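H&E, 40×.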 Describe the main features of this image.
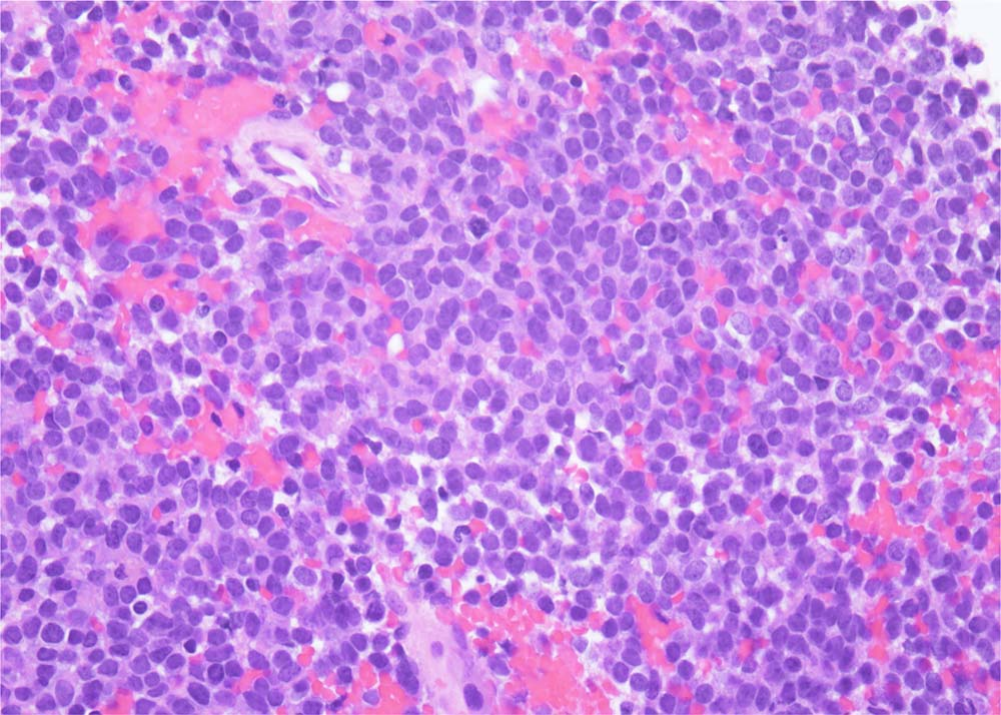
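This field shows a diffuse, densely cellular sheet of neoplastic cells, small and monotonous, that effaces any normal tissue architecture. The cells are round to oval, with nuclei that fill almost the whole cell and leave only a scant rim of pale cytoplasm. The nuclear chromatin is finely stippled and evenly distributed, and nucleoli are inconspicuous. Scattered darker, condensed nuclei lie among the tumour cells.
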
